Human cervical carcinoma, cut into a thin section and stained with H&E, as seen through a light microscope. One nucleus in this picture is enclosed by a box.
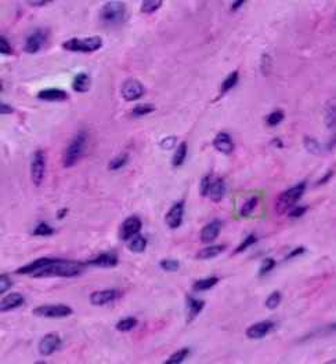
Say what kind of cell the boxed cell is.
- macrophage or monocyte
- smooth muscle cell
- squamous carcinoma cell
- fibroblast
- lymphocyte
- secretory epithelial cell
smooth muscle cell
